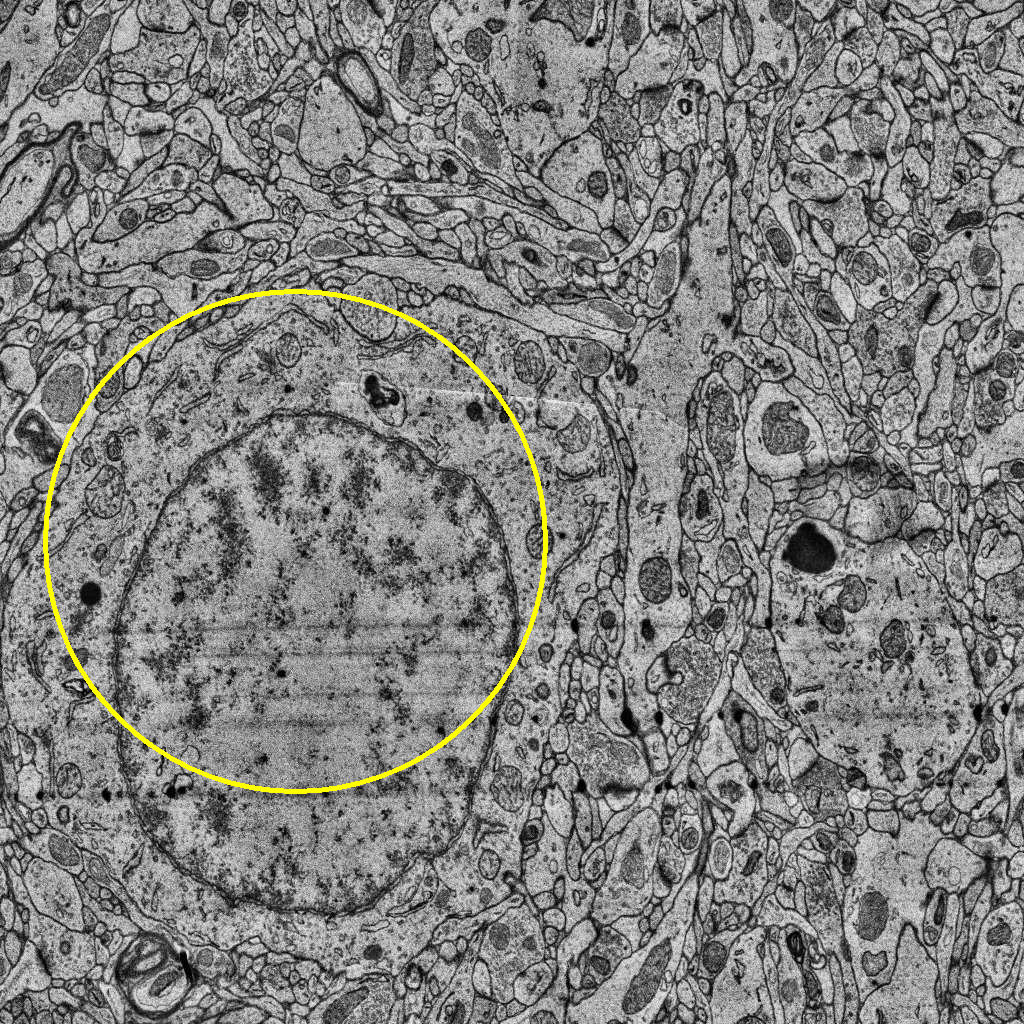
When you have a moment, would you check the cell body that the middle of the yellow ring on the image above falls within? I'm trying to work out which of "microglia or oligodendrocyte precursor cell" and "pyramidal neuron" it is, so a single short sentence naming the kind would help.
This cell body belongs to a pyramidal neuron.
